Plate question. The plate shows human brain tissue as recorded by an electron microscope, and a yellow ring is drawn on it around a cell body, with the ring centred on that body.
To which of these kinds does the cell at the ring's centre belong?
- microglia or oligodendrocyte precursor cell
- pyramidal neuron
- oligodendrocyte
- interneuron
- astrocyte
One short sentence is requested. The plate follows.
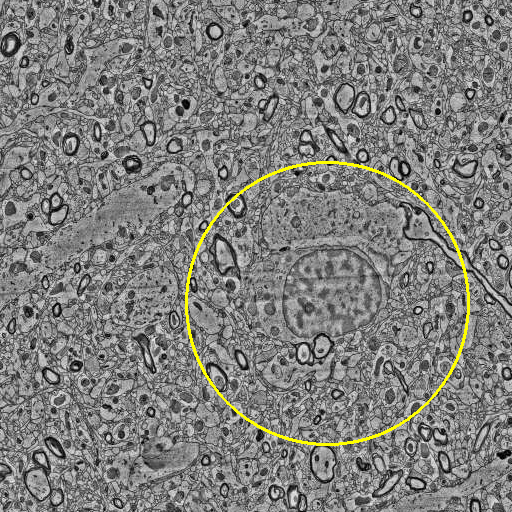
The cell at the ring's centre is an oligodendrocyte.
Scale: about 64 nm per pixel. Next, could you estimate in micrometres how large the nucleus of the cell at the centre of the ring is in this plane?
The nucleus is approximately 6 micrometers across in this plane.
